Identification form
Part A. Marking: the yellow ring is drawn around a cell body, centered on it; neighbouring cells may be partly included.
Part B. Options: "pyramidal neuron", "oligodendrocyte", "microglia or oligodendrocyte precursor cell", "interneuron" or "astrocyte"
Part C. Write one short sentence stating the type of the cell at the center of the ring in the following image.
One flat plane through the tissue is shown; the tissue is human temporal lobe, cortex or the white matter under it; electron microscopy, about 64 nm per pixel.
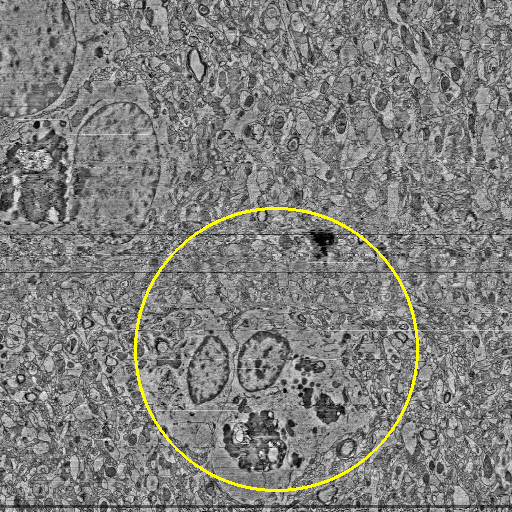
The center of the ring holds an astrocyte.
